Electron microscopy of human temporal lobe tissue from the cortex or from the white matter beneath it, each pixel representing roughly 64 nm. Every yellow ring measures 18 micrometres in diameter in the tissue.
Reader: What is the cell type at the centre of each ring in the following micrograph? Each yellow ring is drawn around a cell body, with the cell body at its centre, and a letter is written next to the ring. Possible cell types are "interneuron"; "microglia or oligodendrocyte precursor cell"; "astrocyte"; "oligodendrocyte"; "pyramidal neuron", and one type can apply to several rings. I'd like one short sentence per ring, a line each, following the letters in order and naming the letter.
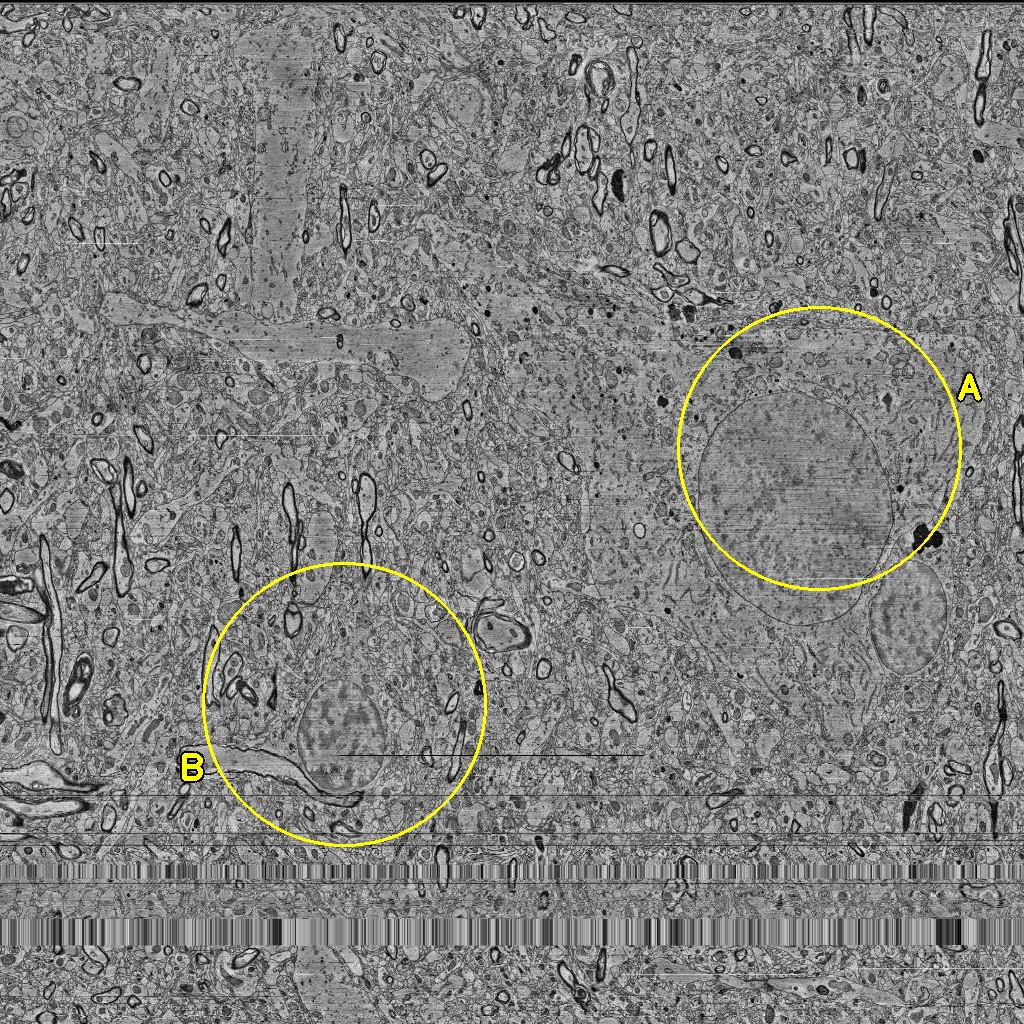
The cell body at the centre of ring A is that of a pyramidal neuron.
The cell body at the centre of ring B is that of an oligodendrocyte.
